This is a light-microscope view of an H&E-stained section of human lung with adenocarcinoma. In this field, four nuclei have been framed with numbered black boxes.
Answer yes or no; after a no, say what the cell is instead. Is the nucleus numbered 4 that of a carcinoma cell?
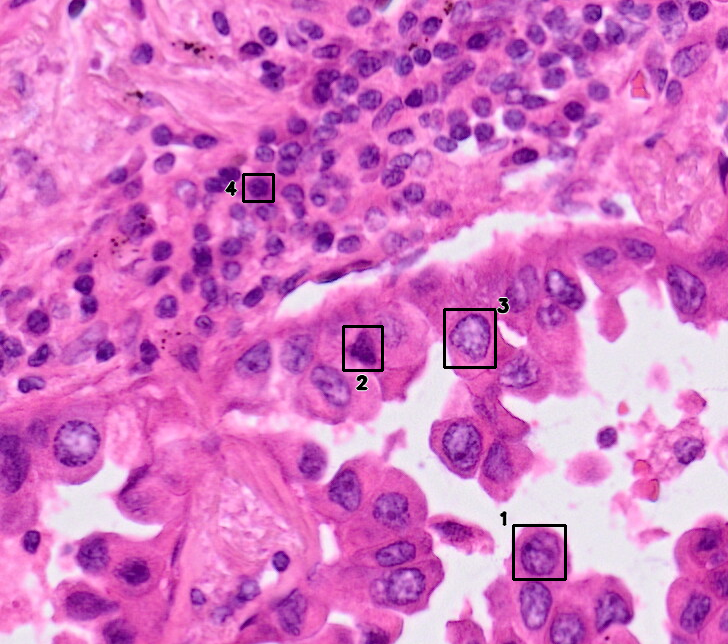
No, it is a plasma cell.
